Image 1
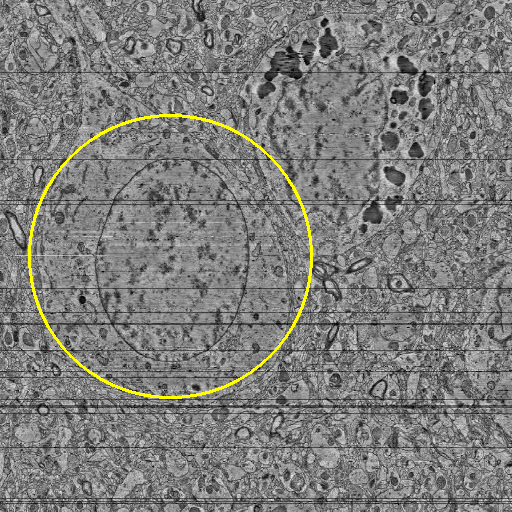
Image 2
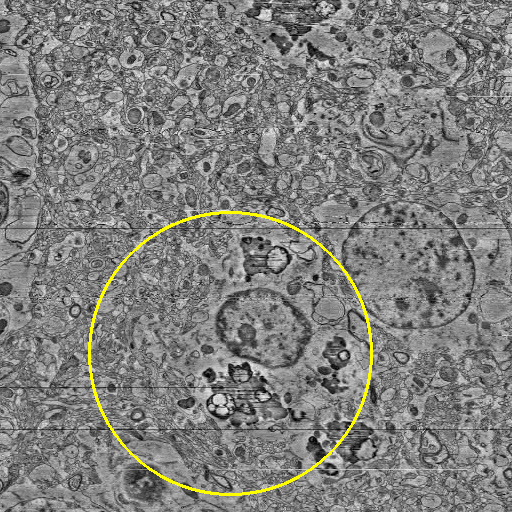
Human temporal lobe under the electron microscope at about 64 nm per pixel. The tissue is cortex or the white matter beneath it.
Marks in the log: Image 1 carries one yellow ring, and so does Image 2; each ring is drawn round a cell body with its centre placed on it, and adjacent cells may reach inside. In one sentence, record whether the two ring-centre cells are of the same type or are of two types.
The two cells at the ring centres, one in each image, are of two types.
